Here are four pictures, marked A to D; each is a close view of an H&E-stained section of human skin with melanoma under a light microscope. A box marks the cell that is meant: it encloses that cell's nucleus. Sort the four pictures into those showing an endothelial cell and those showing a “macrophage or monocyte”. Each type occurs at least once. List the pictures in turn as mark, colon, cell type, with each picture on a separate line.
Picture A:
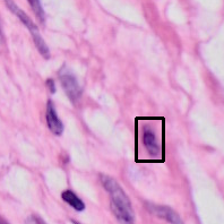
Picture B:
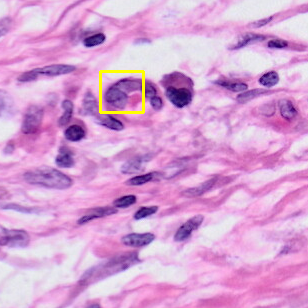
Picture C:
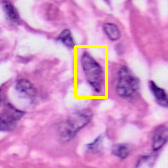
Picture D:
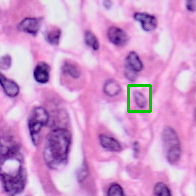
A: macrophage or monocyte
B: endothelial cell
C: macrophage or monocyte
D: macrophage or monocyte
